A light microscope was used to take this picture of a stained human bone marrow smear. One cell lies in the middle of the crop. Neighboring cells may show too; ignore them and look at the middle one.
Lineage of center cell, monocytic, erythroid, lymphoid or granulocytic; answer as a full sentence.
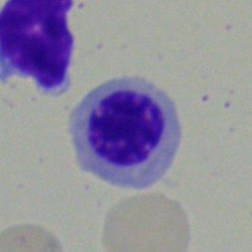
The cell in the middle of the crop is considered part of the erythroid lineage.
